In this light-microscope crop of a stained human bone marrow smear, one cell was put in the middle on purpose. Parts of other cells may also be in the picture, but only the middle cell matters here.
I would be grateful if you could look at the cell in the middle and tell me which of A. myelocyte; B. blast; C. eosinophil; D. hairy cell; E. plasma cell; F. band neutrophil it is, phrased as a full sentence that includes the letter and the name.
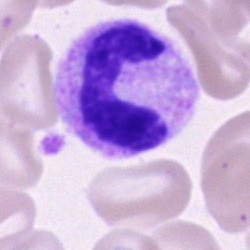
The central cell in this crop is a band neutrophil, corresponding to option F, the correct option.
